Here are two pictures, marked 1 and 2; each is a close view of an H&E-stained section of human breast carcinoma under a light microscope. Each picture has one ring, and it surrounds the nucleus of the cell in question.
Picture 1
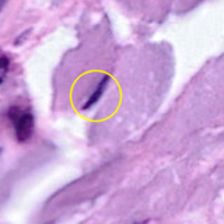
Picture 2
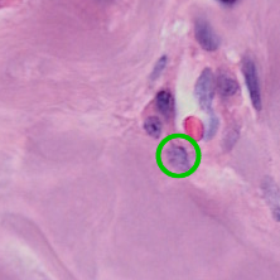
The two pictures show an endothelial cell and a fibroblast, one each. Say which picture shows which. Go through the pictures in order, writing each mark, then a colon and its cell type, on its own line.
1: fibroblast
2: endothelial cell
